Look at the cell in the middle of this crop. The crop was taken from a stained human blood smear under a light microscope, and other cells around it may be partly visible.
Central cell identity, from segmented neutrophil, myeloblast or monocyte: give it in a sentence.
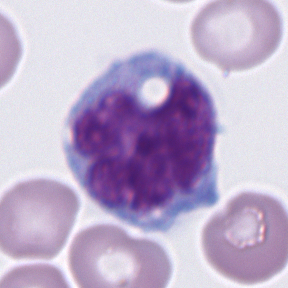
The central cell, amid any neighbouring cells, is a myeloblast.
